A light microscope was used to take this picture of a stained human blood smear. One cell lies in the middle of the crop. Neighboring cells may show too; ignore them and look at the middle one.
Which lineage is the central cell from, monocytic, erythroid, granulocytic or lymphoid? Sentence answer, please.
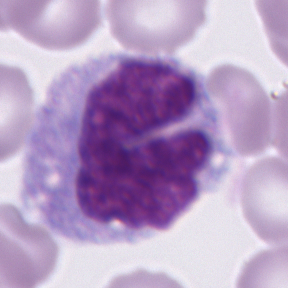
Belonging to the monocytic lineage is the cell positioned in the middle.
